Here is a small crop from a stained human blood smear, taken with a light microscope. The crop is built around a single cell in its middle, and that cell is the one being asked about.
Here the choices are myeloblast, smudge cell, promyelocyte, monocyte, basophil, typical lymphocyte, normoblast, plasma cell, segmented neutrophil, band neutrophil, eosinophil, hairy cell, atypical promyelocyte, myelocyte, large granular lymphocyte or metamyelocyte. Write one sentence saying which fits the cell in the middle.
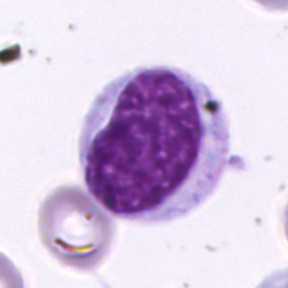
In the crop, the cell of interest at the centre is a metamyelocyte.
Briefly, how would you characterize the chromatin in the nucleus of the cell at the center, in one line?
The nuclear chromatin is fine, showing no coarse aggregates.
